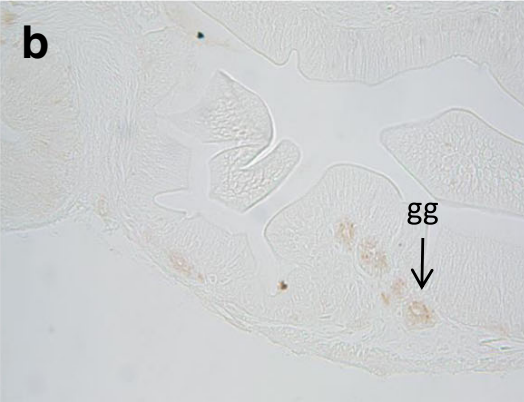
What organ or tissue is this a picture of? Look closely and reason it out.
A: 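Thick folded mucosa around a branched lumen. Small clusters of brown-stained cells lie at the base of the mucosa.
Conclusion: stomach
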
